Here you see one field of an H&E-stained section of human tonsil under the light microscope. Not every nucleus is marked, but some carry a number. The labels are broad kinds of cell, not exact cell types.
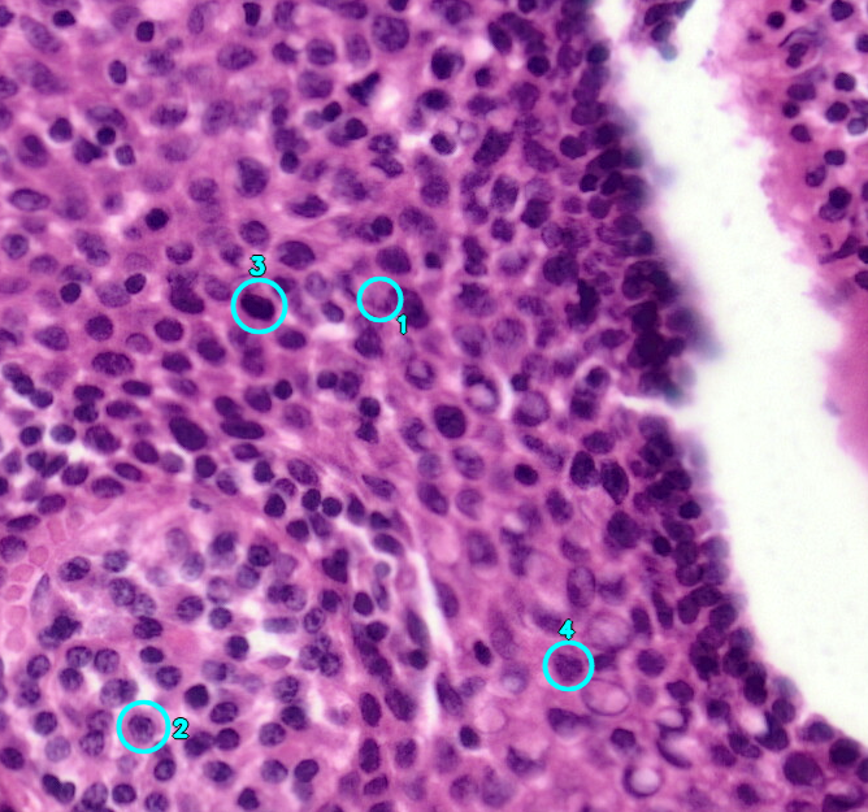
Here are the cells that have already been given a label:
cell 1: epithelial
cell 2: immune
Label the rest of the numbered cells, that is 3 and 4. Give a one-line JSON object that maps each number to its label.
{"3": "epithelial", "4": "epithelial"}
